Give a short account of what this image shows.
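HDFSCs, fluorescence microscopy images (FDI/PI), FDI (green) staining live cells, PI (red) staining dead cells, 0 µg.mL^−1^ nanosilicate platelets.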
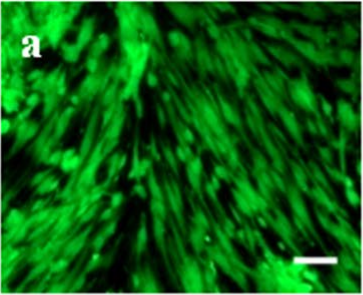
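A dense monolayer of cultured cells fills the field, nearly all of them fluorescing green throughout their cytoplasm. The cells are elongated and spindle-shaped, with tapering ends. They lie close together and run roughly parallel to one another in streams that sweep across the field. Red or yellow dots are almost absent.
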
